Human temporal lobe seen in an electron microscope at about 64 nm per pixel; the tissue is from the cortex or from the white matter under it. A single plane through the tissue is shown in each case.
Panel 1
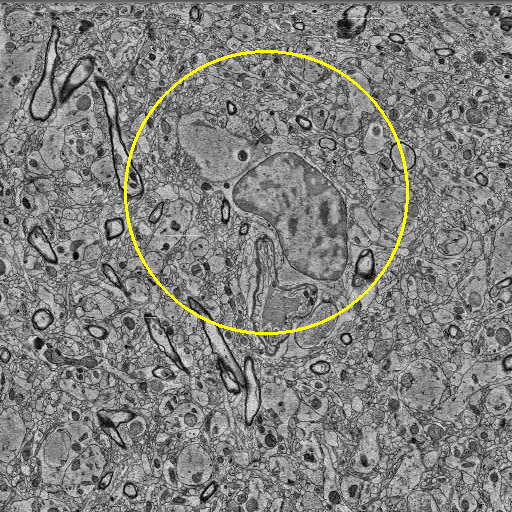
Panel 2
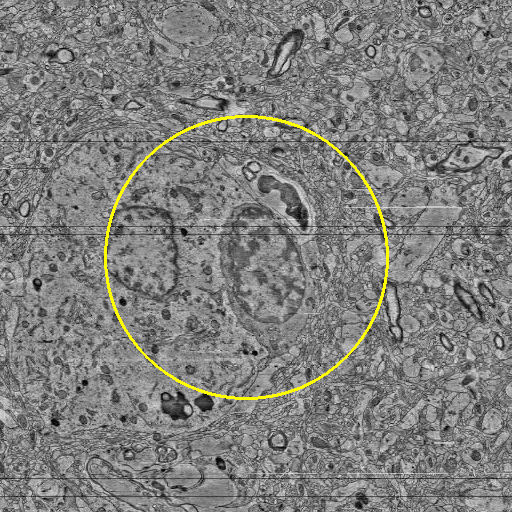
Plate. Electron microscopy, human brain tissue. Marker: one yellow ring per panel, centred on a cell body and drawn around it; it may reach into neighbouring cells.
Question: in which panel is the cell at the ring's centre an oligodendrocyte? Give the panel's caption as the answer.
Panel 2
